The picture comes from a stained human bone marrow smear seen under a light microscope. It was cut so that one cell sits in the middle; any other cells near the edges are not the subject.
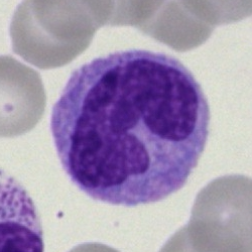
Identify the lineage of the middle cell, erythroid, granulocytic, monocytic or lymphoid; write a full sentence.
The cell at the center of this crop is categorized as monocytic in lineage.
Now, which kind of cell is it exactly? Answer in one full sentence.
The cell centered in this field of view is a monocyte.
